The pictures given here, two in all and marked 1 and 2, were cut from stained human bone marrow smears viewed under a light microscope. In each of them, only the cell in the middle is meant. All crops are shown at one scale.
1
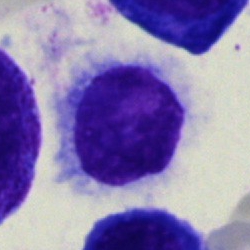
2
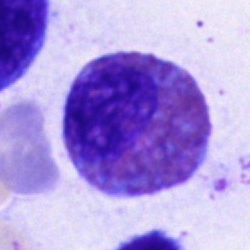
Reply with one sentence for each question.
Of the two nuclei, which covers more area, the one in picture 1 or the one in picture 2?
The nucleus in picture 1 is larger, with about 1.5 times the area of the one in picture 2.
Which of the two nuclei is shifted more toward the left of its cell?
Seen within its cell, the nucleus in picture 2 lies further toward the left.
